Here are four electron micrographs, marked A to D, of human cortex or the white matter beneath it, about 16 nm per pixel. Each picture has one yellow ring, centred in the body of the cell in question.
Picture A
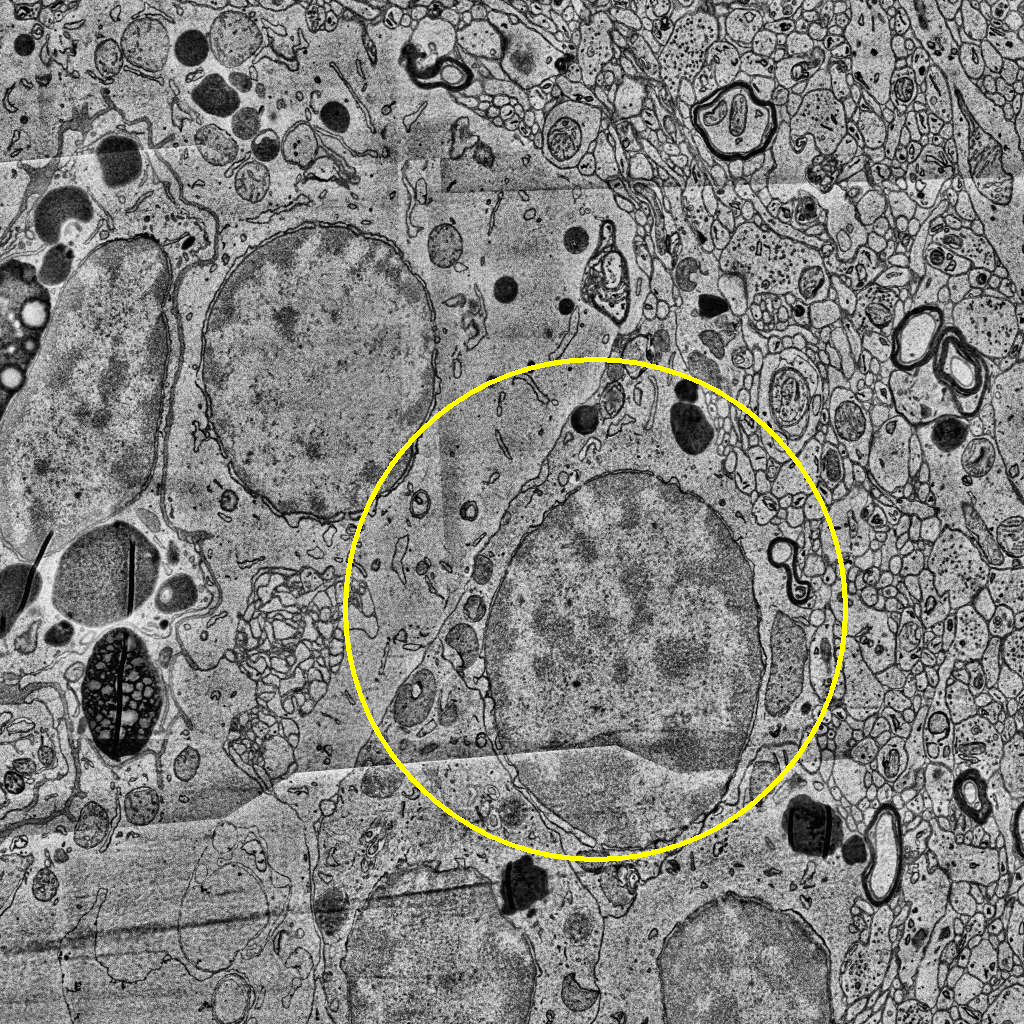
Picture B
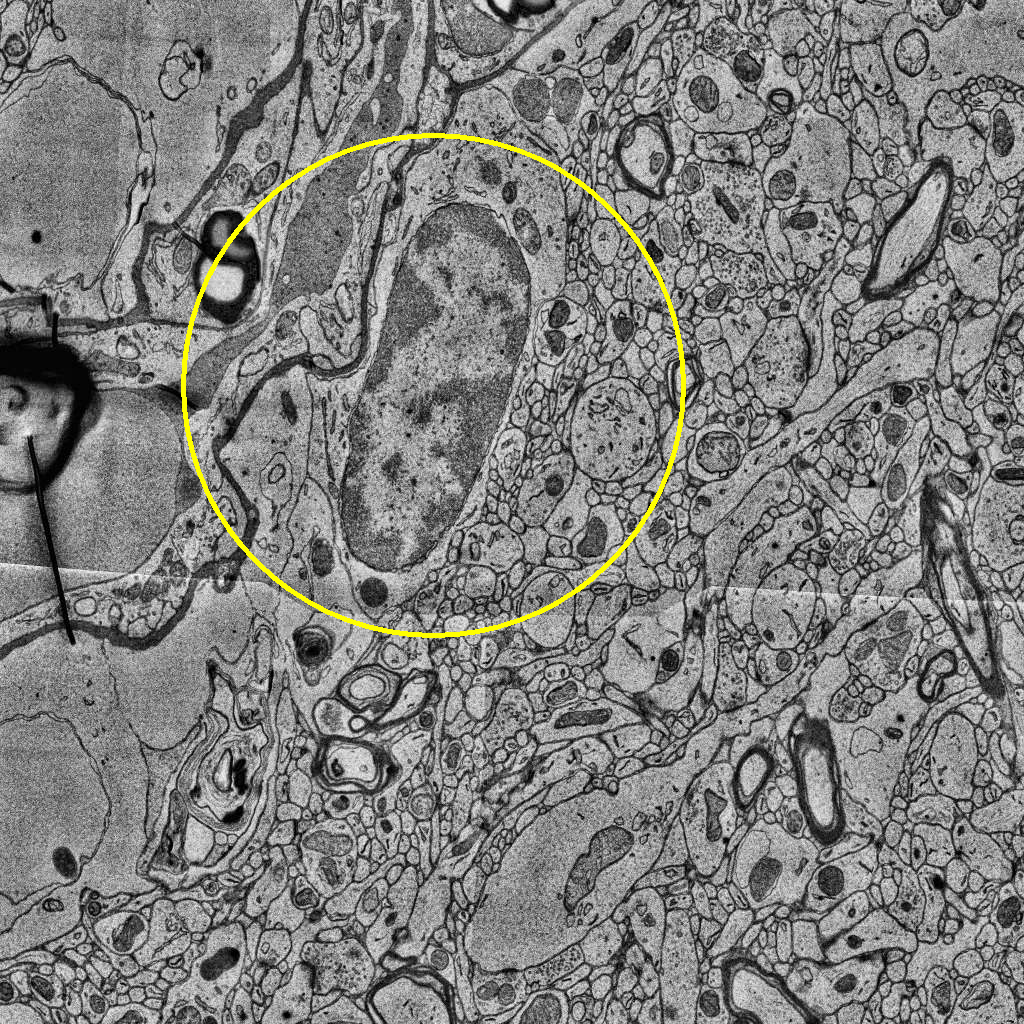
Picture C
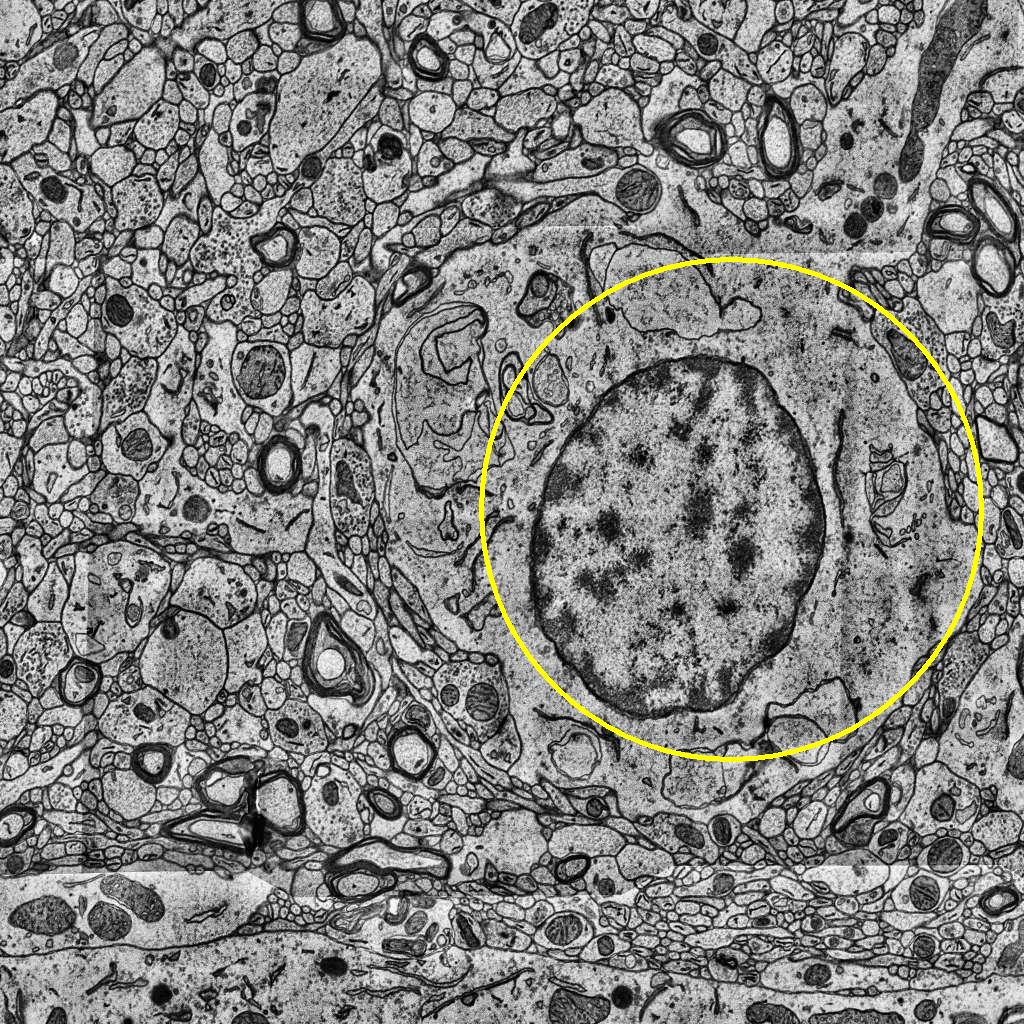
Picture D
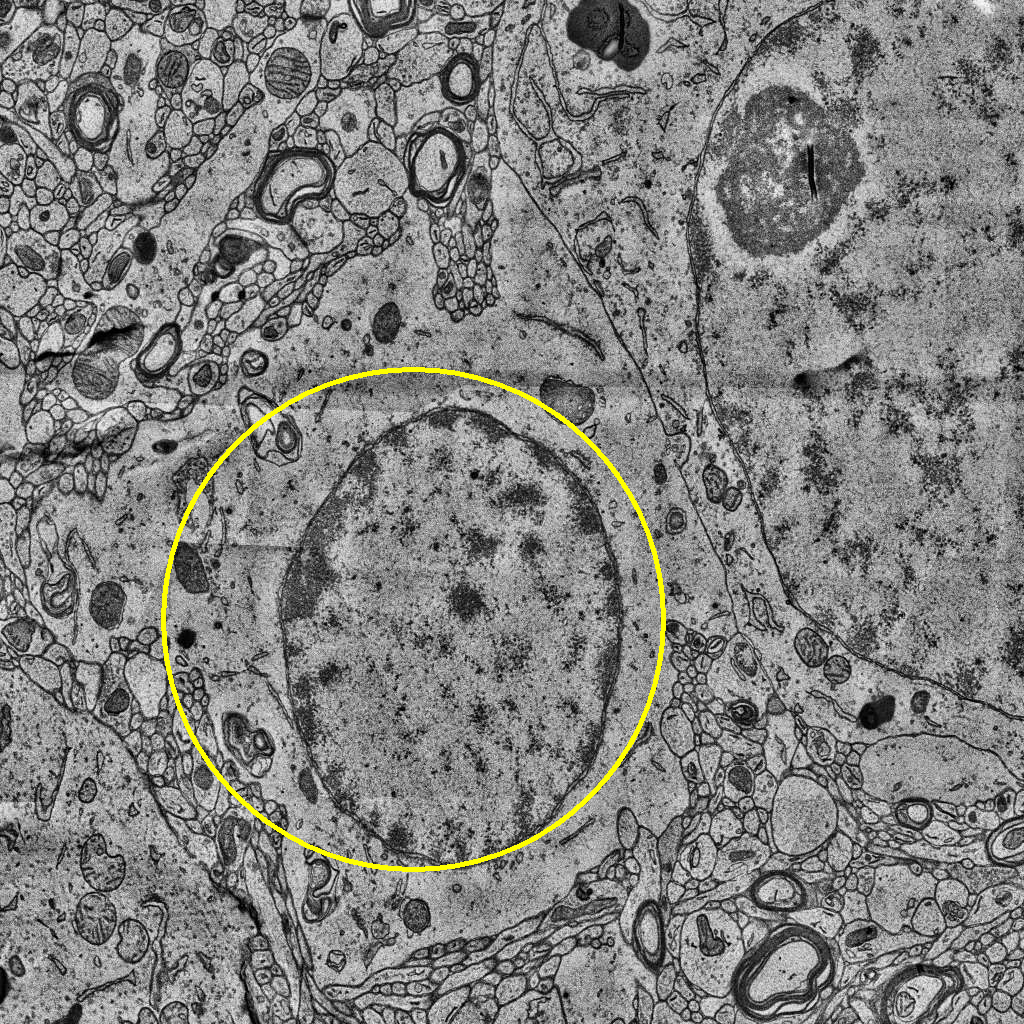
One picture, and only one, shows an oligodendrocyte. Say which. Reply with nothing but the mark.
A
